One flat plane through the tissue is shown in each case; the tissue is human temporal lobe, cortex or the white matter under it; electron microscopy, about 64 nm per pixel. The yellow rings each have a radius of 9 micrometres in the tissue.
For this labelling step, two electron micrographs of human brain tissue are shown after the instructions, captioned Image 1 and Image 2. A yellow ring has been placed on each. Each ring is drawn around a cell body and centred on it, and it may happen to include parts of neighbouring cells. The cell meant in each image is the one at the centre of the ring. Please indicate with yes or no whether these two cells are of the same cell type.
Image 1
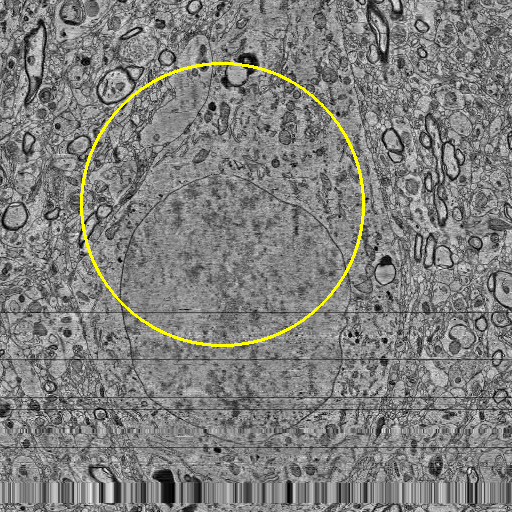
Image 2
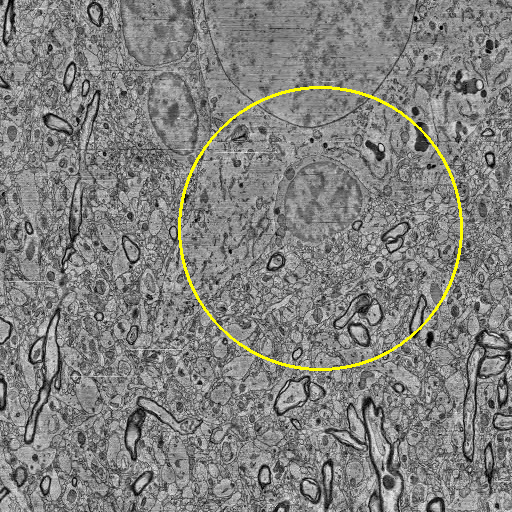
no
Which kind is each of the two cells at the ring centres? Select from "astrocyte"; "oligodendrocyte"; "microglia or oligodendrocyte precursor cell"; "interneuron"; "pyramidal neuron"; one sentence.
The cell at the centre of the ring is a pyramidal neuron in the first picture and an oligodendrocyte in the second.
